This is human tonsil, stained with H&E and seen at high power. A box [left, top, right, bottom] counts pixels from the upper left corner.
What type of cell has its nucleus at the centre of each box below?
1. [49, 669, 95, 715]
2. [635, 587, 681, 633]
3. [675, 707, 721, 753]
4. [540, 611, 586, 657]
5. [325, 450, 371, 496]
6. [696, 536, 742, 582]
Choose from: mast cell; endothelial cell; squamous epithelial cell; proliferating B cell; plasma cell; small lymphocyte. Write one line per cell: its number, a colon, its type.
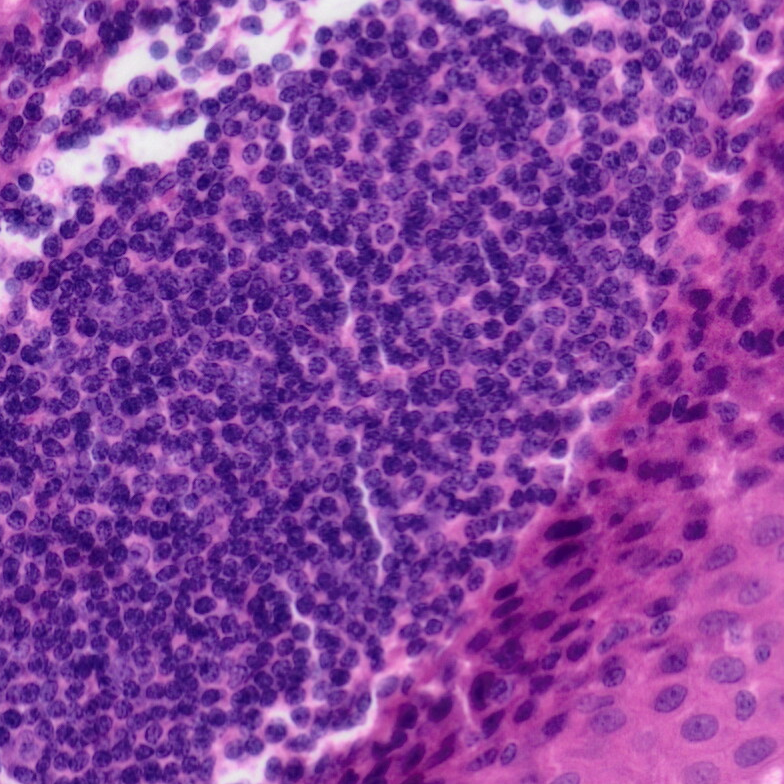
1: small lymphocyte
2: squamous epithelial cell
3: squamous epithelial cell
4: squamous epithelial cell
5: small lymphocyte
6: squamous epithelial cell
